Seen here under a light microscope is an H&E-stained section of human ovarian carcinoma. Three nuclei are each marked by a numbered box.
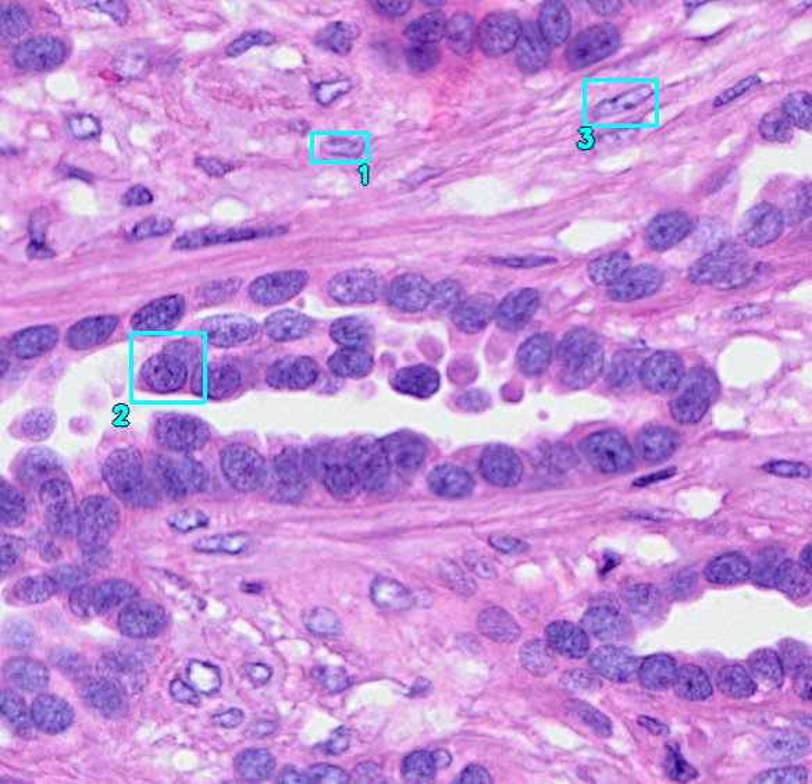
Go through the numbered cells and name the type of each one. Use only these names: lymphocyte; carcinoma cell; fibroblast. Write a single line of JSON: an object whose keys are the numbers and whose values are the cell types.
{"1": "fibroblast", "2": "carcinoma cell", "3": "fibroblast"}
